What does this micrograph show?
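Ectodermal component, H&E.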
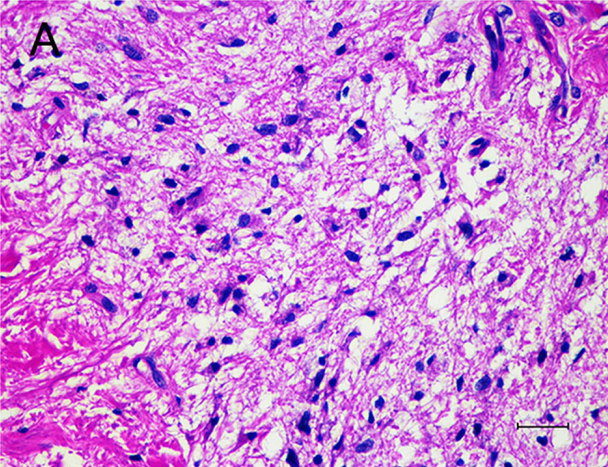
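This is neuronal tissue in which many glial cells lie scattered in a fibrillar neuropil. The background is a loose, pale pink, finely fibrillary meshwork with small clear spaces. The nuclei are small, dark and oval to elongated, spread fairly evenly and not arranged in layers. Denser pink collagen-like tissue and a few small vessels appear at the edges of the field.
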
